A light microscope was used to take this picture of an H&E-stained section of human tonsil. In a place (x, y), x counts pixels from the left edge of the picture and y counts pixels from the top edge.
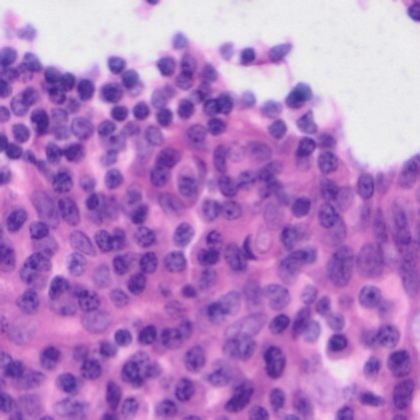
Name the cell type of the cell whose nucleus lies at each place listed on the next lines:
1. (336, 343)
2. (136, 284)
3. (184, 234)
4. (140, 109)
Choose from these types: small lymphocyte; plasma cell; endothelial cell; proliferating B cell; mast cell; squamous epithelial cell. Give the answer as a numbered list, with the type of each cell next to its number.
1. plasma cell
2. plasma cell
3. plasma cell
4. small lymphocyte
